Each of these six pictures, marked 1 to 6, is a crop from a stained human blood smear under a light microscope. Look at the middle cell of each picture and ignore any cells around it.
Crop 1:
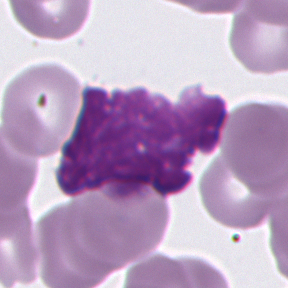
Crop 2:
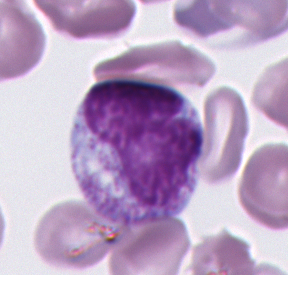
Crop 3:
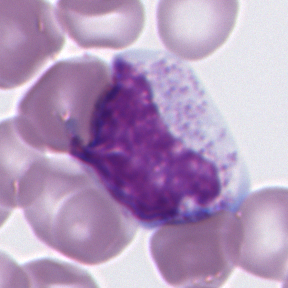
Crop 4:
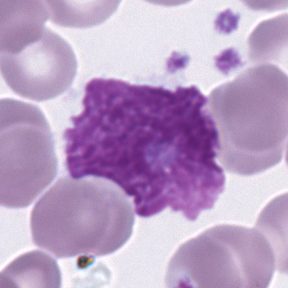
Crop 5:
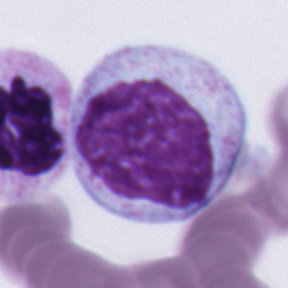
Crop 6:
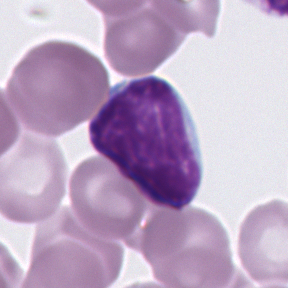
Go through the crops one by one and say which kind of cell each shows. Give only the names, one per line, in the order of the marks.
smudge cell
metamyelocyte
myelocyte
smudge cell
myelocyte
myeloblast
